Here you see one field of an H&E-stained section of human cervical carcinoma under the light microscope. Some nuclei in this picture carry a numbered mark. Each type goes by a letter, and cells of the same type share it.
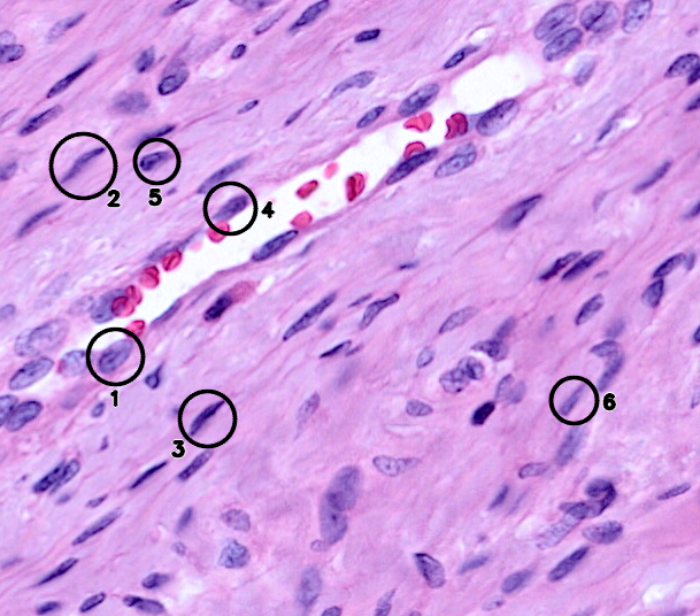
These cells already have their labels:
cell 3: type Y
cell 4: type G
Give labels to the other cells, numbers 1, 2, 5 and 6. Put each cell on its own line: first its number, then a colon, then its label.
1: type G
2: type Y
5: type Y
6: type Y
